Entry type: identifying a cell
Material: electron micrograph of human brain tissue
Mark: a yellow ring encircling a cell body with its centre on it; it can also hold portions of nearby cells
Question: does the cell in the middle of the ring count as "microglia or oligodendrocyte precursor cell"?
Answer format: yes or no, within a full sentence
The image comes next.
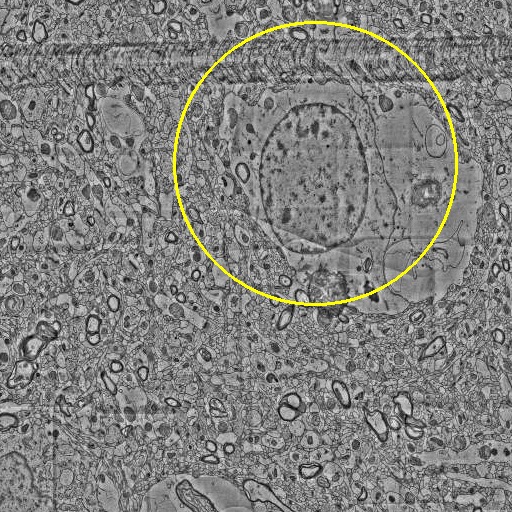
No, in the image, the cell in the middle of the yellow ring counts as a different kind.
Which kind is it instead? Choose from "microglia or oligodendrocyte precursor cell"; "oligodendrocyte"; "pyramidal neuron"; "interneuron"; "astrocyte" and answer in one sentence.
Instead, the picture shows an astrocyte at the centre of the ring.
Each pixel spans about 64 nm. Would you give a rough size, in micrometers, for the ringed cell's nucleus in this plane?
The nucleus works out at approximately 10 by 7 micrometres in this plane.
